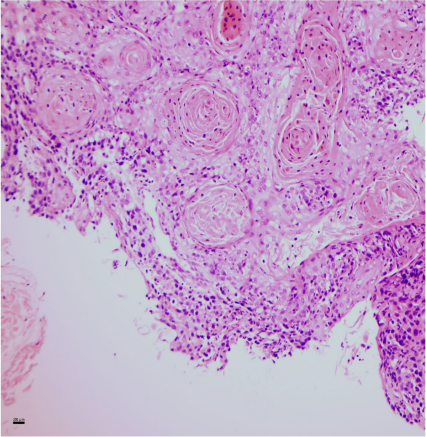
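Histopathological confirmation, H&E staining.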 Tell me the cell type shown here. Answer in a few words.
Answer: Squamous carcinoma cells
